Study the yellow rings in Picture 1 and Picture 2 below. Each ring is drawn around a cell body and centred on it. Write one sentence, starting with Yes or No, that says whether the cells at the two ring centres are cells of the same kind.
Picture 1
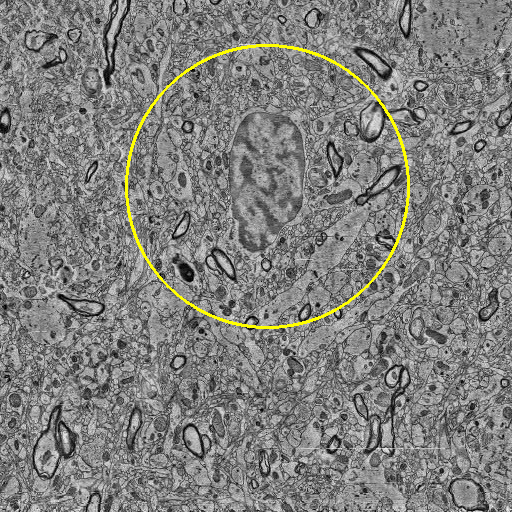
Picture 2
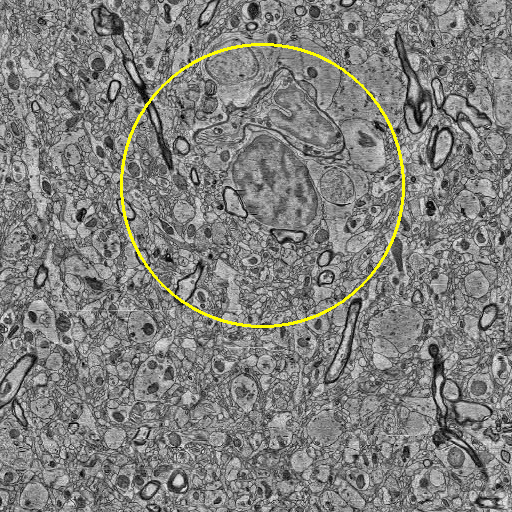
No, the cells at the ring centres are of two kinds.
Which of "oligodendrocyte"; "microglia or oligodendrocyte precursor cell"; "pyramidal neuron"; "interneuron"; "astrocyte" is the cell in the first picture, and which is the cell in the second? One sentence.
The two differ: the first cell is a microglial cell or oligodendrocyte precursor cell and the second is an oligodendrocyte.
